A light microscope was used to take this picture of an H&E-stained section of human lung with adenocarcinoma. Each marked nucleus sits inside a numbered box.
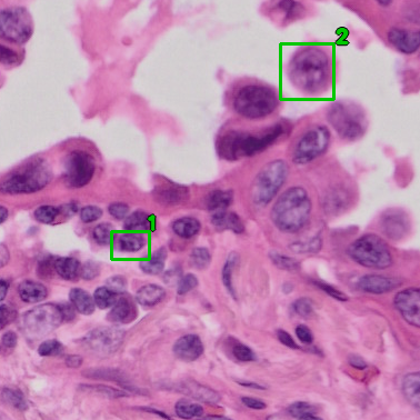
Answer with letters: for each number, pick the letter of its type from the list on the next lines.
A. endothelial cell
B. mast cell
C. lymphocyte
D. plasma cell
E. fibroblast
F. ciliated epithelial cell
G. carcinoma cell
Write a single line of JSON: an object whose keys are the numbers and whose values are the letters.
{"1": "C", "2": "G"}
